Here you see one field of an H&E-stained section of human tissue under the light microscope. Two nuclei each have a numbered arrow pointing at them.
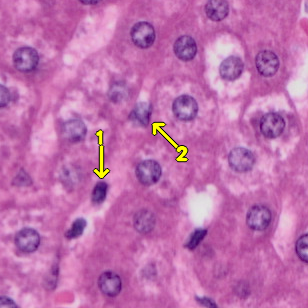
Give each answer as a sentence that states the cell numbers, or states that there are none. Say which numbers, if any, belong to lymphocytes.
Cell 1, and no other numbered cell, is a lymphocyte.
